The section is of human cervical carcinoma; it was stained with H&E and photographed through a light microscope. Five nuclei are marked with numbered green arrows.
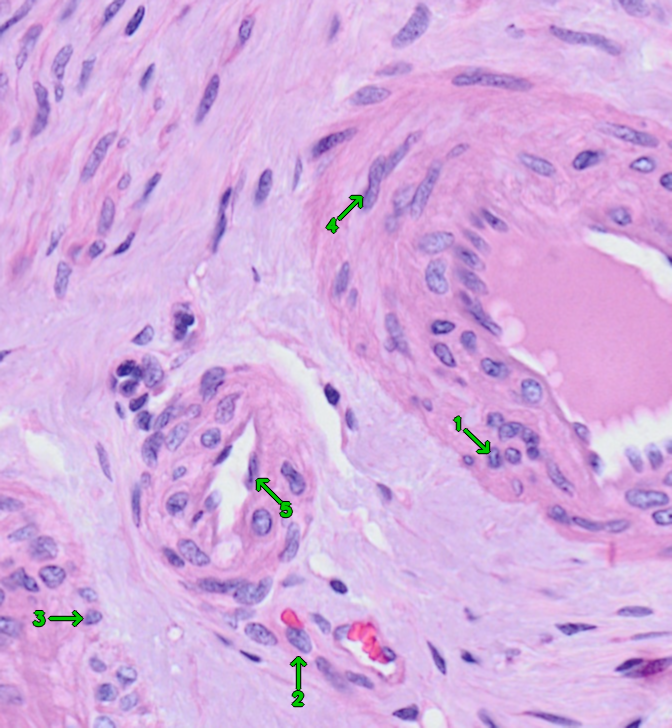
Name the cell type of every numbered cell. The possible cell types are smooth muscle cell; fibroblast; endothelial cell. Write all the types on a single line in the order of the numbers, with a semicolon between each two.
smooth muscle cell; endothelial cell; smooth muscle cell; smooth muscle cell; endothelial cell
